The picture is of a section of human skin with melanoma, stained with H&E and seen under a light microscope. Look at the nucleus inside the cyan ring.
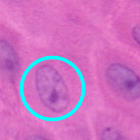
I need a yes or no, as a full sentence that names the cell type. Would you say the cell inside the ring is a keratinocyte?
Yes, with respect to cell type, the cell inside the ring is a keratinocyte.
